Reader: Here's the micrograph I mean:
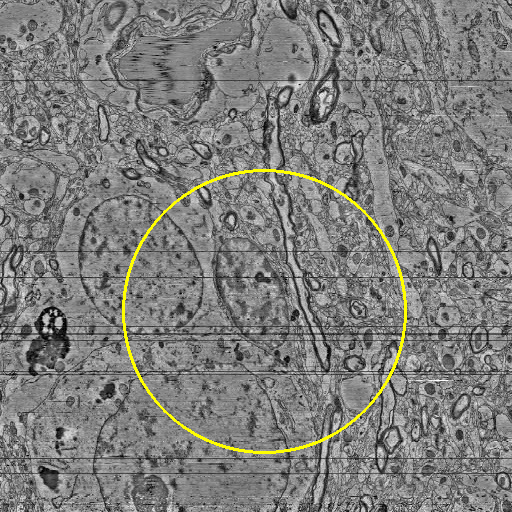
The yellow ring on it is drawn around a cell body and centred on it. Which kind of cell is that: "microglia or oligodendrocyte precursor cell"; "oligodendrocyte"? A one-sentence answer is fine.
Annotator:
The ring is centred on an oligodendrocyte.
